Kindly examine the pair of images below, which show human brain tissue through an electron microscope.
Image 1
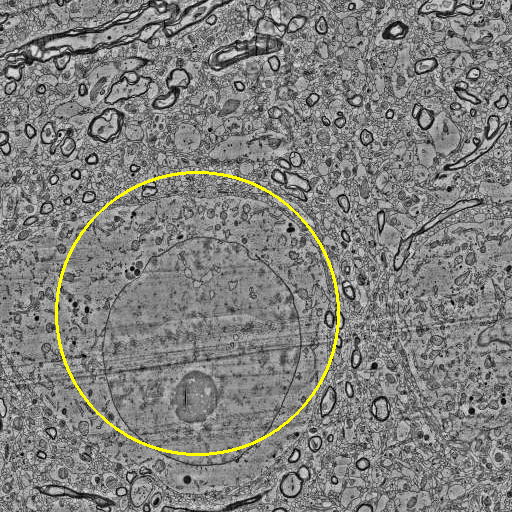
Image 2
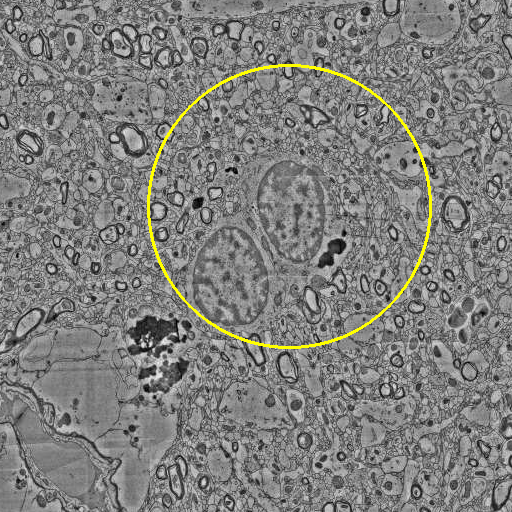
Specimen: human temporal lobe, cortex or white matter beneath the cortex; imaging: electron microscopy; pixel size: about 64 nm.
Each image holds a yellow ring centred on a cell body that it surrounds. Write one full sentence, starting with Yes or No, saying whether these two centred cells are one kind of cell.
No, the cells at the centres of the yellow rings belong to two kinds of cell.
